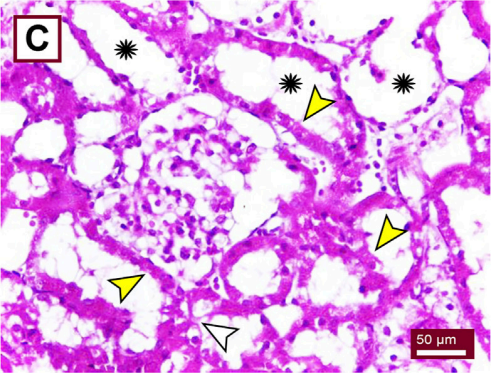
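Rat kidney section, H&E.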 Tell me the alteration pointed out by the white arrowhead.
vacuolated cytoplasm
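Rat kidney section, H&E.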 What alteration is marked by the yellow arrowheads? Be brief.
Loss of brush border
